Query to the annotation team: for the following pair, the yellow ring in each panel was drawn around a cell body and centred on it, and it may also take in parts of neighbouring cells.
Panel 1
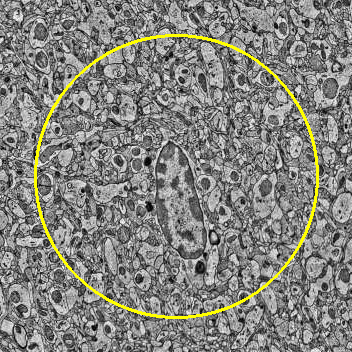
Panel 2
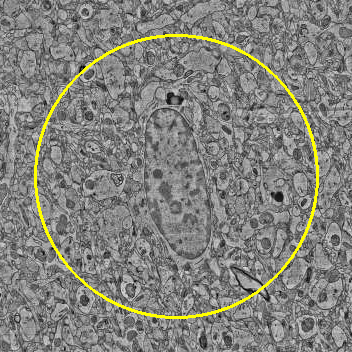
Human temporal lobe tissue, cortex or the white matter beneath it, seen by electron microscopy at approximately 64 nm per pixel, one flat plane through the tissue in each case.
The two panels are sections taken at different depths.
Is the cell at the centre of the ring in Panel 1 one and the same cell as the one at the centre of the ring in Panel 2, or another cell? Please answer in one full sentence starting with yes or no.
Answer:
Yes, both yellow rings were placed on the same cell.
